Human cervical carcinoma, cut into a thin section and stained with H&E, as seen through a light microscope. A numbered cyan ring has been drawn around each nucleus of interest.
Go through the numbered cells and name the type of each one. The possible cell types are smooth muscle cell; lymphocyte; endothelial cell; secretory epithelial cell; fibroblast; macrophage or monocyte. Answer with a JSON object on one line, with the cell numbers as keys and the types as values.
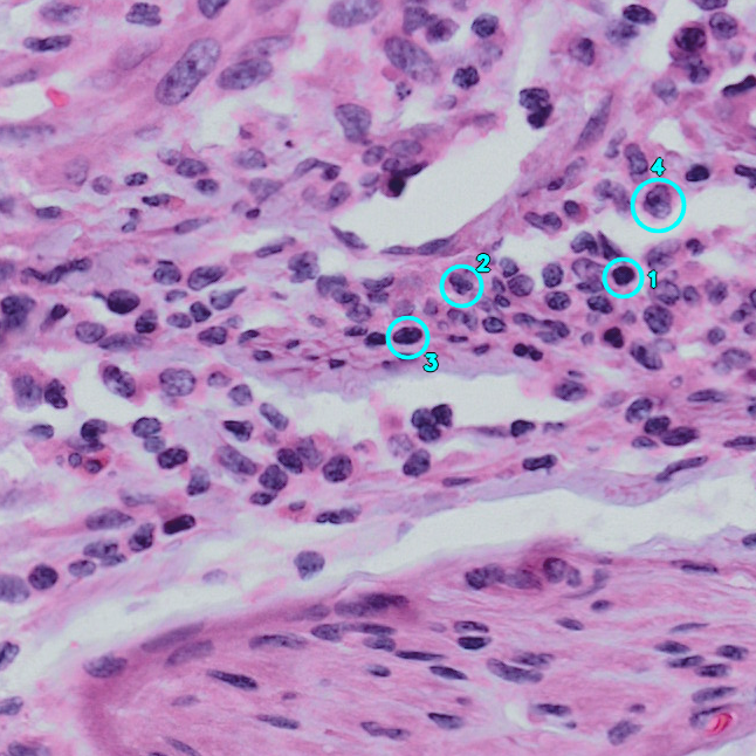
{"1": "lymphocyte", "2": "lymphocyte", "3": "lymphocyte", "4": "macrophage or monocyte"}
